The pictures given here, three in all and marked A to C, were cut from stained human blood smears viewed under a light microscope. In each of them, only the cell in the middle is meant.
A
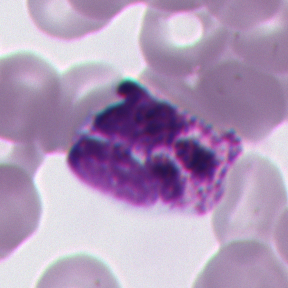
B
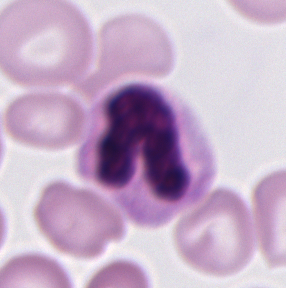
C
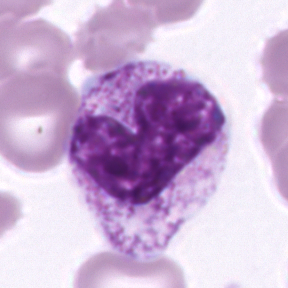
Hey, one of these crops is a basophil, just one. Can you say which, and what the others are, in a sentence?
In crop A one sees a basophil, while crop B is a segmented neutrophil and crop C is a band neutrophil.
